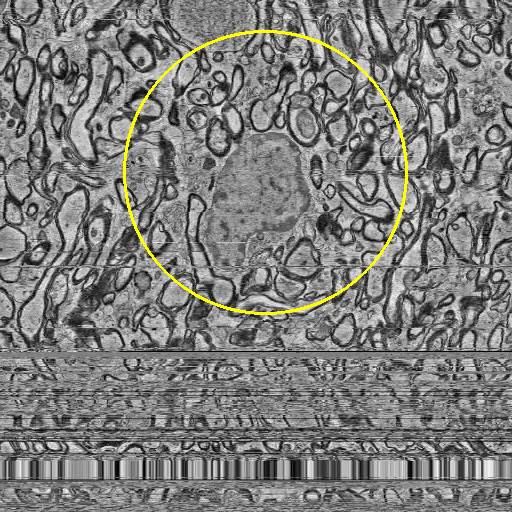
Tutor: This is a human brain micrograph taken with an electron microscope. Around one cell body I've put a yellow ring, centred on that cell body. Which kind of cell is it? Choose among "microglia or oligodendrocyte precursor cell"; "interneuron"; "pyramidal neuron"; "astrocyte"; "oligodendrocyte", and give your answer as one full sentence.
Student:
Going by your list, the cell centred in the yellow ring is a microglial cell or oligodendrocyte precursor cell.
